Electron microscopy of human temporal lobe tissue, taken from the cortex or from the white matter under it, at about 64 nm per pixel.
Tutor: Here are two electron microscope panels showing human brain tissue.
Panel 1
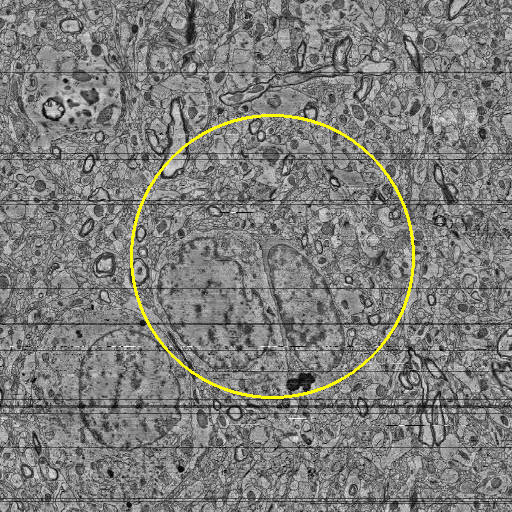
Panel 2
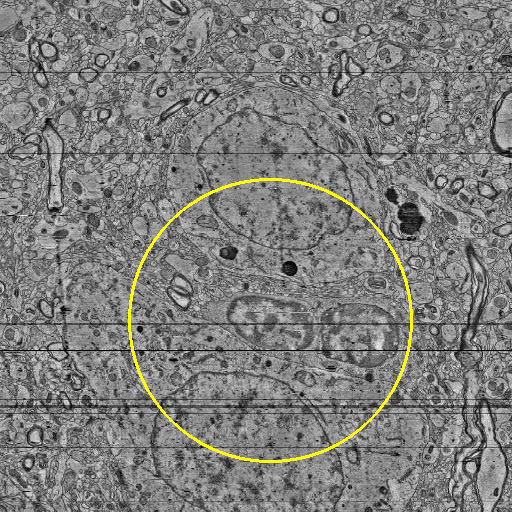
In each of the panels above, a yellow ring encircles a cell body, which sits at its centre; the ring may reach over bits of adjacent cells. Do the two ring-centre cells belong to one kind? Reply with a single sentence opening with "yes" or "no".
Yes, the two cells sitting at the ring centres in the panels belong to one kind.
